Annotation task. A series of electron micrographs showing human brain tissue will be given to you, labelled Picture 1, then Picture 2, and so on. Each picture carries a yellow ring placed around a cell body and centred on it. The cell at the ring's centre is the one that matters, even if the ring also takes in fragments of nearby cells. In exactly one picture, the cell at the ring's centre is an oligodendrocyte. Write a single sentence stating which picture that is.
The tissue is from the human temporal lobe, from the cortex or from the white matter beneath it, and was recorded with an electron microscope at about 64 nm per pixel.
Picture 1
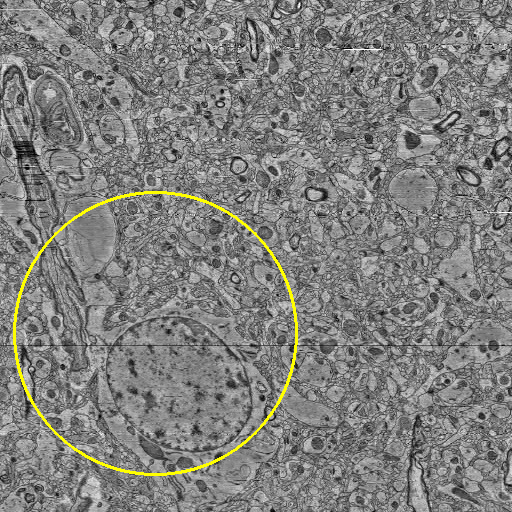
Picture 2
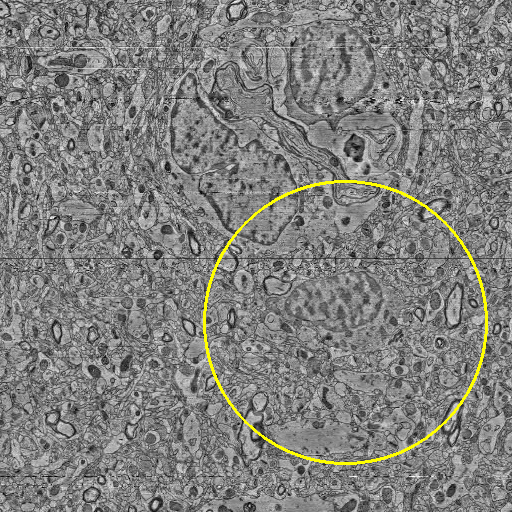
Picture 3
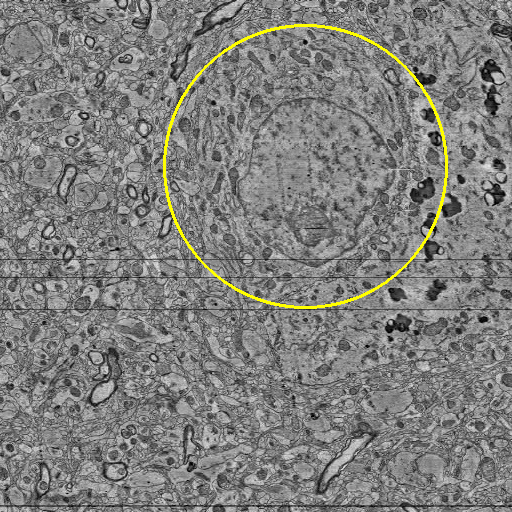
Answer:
Picture 2 holds the requested cell at the very centre of its ring.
